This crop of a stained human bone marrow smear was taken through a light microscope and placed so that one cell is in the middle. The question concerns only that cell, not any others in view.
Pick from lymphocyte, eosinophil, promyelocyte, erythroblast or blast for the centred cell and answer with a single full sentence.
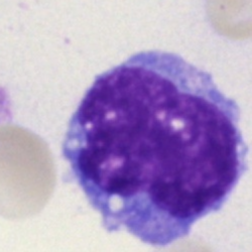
This particular crop is centered on a blast.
